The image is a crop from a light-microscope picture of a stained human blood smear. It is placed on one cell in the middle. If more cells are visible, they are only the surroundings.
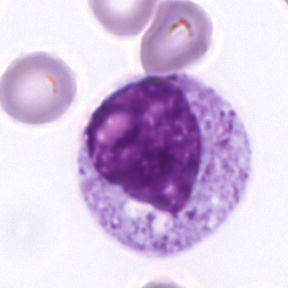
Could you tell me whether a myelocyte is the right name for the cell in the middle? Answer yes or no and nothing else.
yes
